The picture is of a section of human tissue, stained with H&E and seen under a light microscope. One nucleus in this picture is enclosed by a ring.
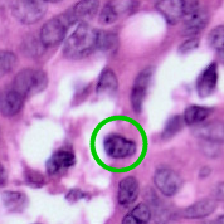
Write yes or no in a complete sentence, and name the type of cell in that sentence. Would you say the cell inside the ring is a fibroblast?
No, judged by cell type, the cell inside the ring is a macrophage or monocyte, not a fibroblast.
